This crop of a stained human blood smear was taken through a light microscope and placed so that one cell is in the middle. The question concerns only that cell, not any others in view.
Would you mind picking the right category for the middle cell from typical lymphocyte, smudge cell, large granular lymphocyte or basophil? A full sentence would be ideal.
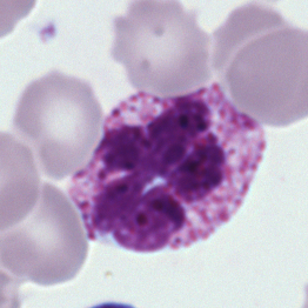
The cell marked by its central position in the crop is a basophil.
